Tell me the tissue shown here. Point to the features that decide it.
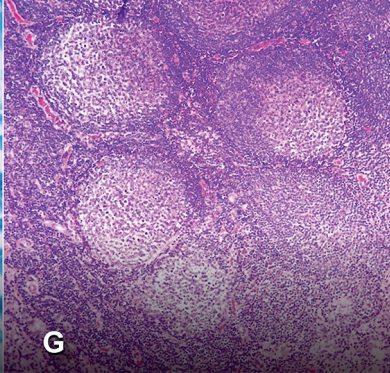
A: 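Lymph node. Several round follicles with pale centers are packed side by side. Densely packed small dark lymphoid cells surround and separate the follicles.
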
